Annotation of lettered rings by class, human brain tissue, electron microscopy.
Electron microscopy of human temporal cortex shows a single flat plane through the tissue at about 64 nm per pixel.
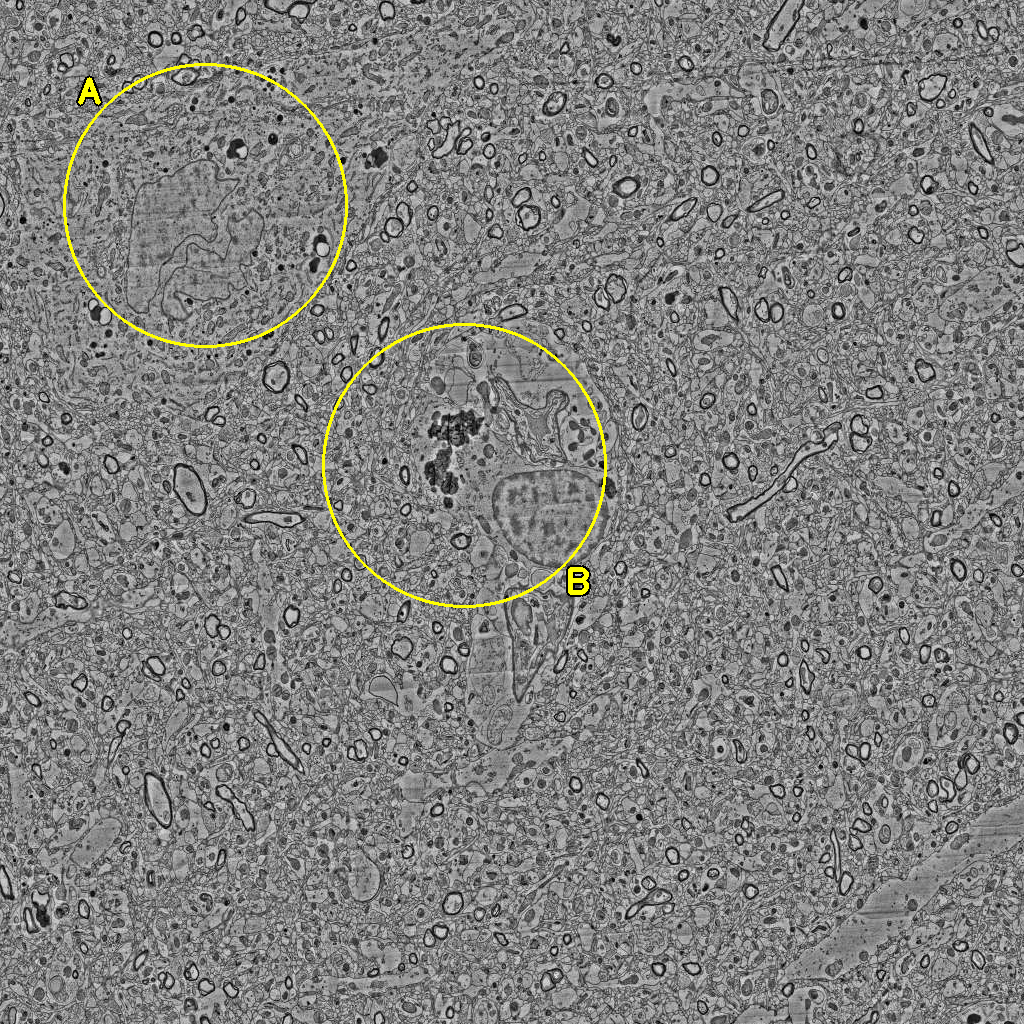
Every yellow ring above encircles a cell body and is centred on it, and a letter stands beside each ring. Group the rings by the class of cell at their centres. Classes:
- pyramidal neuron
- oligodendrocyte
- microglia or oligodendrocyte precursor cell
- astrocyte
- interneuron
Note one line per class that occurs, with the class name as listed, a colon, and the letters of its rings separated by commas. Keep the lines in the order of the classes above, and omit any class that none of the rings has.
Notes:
pyramidal neuron: A
oligodendrocyte: B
